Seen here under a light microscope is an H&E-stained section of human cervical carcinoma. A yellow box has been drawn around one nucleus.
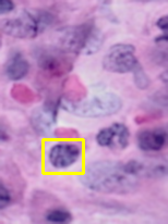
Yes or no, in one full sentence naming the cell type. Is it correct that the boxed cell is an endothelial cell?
No, mark the boxed cell as a lymphocyte, not as an endothelial cell.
